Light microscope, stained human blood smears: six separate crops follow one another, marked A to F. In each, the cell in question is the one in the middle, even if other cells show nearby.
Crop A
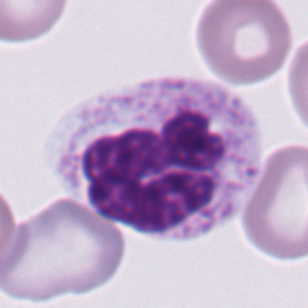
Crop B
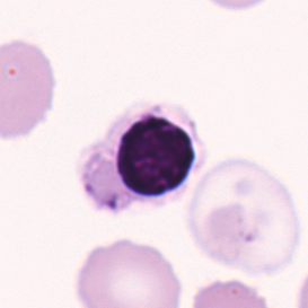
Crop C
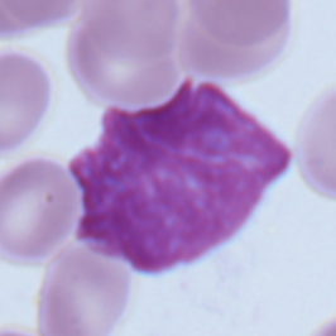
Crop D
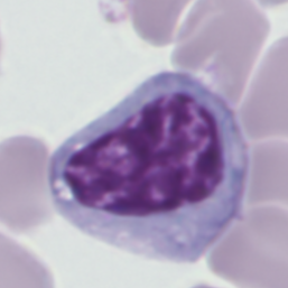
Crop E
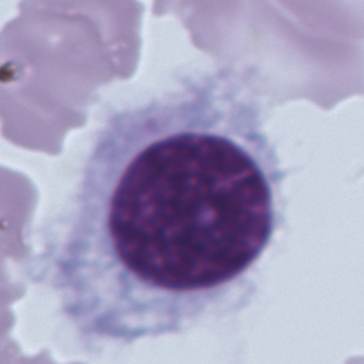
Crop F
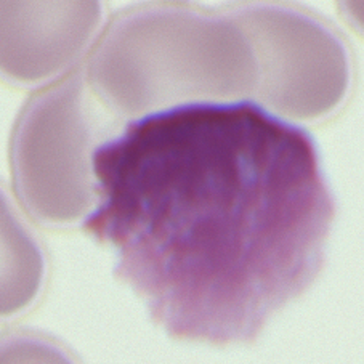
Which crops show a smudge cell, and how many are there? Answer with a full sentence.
It is in two crops, C and F, that smudge cells are shown.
